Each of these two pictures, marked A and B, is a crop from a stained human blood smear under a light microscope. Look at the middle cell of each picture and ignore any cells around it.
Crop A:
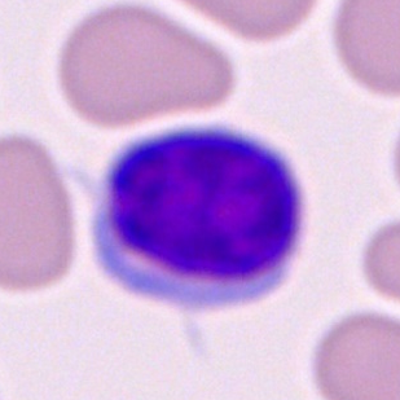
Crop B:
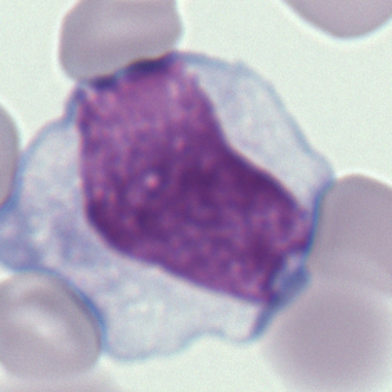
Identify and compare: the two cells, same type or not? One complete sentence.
No, a lymphocyte is in crop A, while a monocyte is in crop B.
